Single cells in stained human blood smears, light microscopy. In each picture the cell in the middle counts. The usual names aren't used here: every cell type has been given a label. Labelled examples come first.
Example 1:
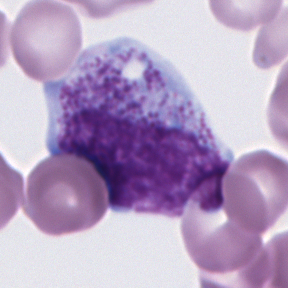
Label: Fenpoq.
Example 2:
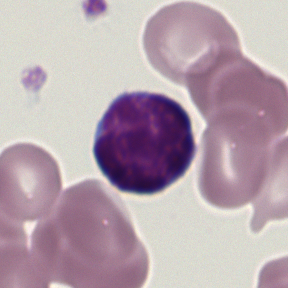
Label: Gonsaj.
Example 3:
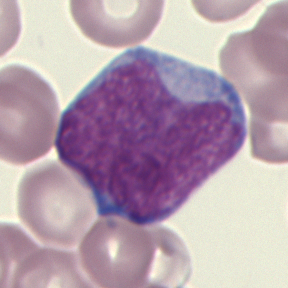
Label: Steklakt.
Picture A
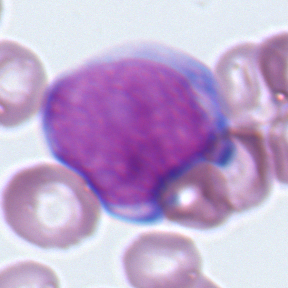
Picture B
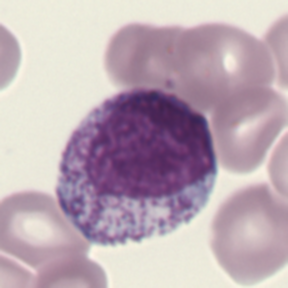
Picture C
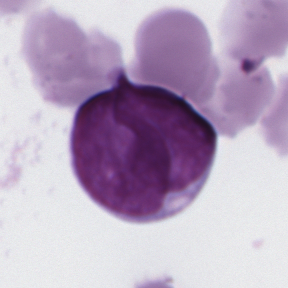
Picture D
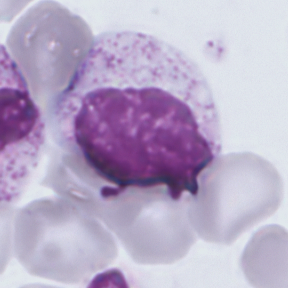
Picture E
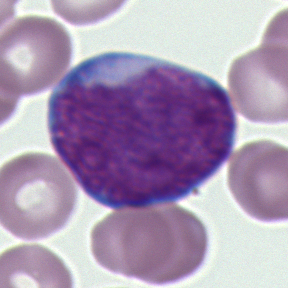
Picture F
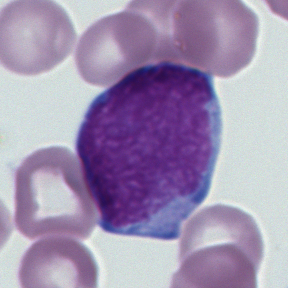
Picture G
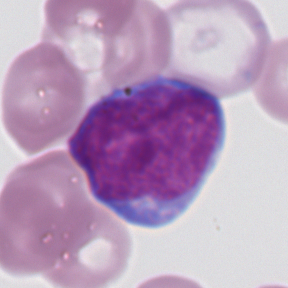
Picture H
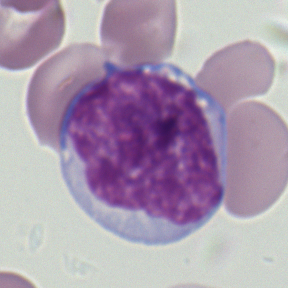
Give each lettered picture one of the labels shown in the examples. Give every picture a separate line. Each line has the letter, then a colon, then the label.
A: Steklakt.
B: Fenpoq.
C: Steklakt.
D: Fenpoq.
E: Steklakt.
F: Steklakt.
G: Steklakt.
H: Steklakt.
